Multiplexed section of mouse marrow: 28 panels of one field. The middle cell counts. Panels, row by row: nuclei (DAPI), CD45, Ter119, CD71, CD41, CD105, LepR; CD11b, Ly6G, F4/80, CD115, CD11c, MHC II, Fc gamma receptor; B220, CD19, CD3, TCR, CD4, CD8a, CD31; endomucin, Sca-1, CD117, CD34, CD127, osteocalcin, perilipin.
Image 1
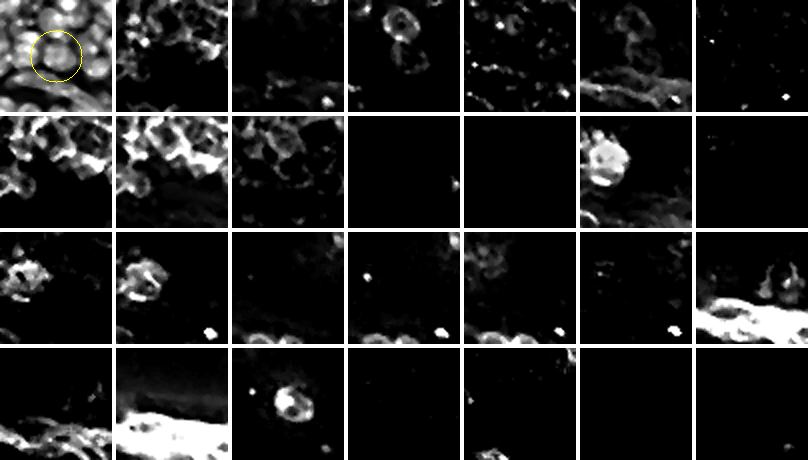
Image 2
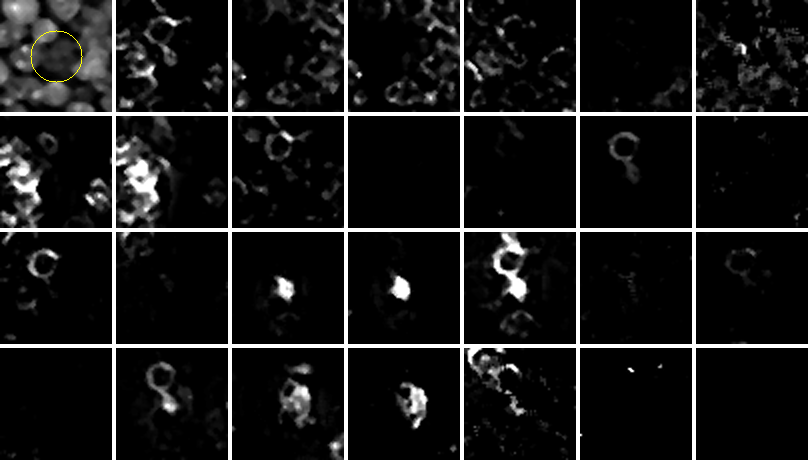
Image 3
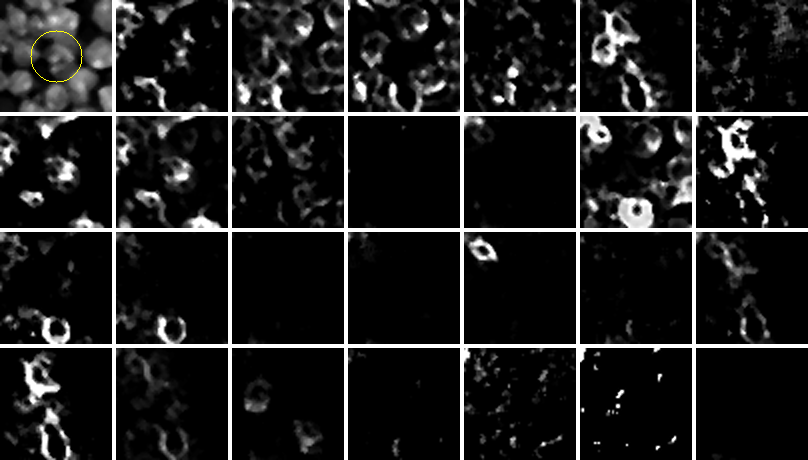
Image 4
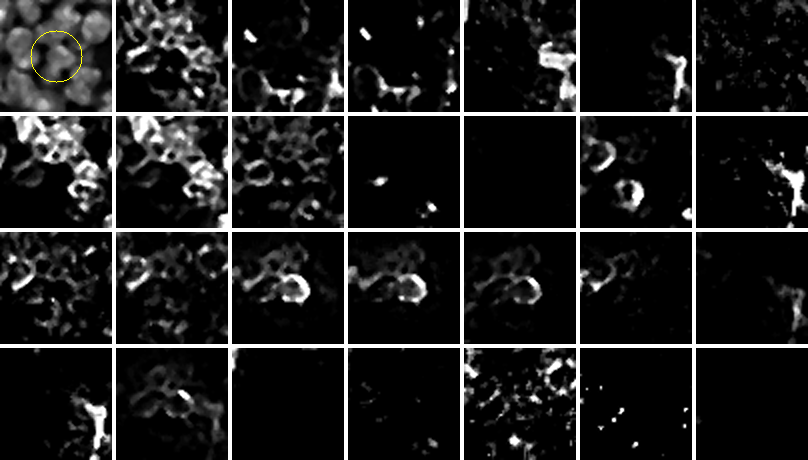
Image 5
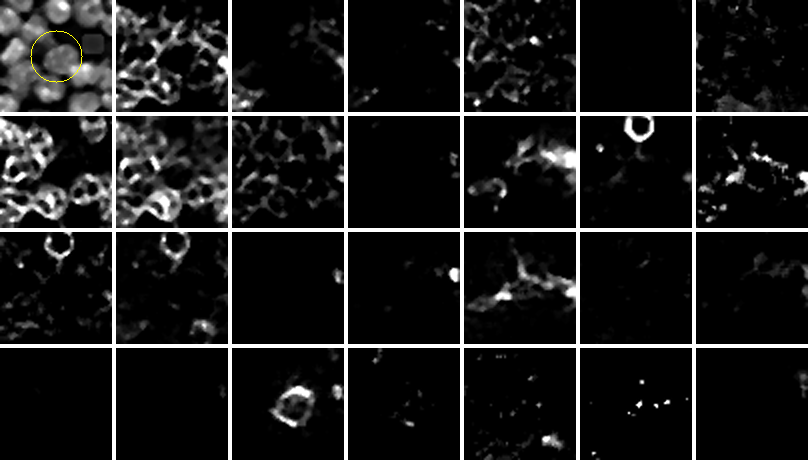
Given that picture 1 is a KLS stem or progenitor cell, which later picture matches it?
2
